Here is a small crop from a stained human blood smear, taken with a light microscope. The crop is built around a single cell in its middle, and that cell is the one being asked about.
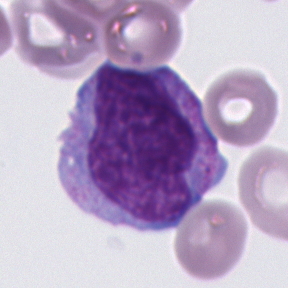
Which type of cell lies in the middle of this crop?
atypical promyelocyte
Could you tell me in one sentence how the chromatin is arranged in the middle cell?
The chromatin here is fine and lacks any coarse clumps.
